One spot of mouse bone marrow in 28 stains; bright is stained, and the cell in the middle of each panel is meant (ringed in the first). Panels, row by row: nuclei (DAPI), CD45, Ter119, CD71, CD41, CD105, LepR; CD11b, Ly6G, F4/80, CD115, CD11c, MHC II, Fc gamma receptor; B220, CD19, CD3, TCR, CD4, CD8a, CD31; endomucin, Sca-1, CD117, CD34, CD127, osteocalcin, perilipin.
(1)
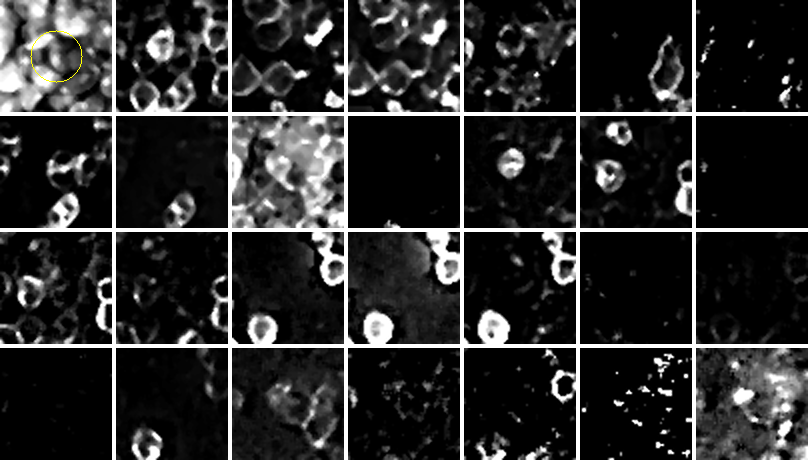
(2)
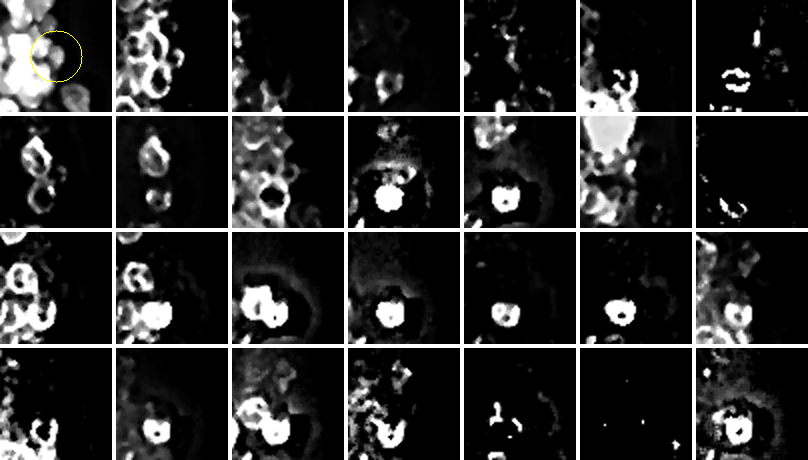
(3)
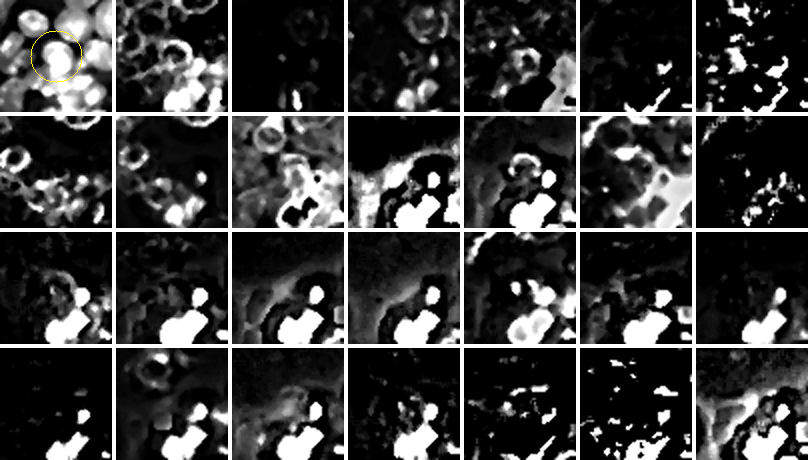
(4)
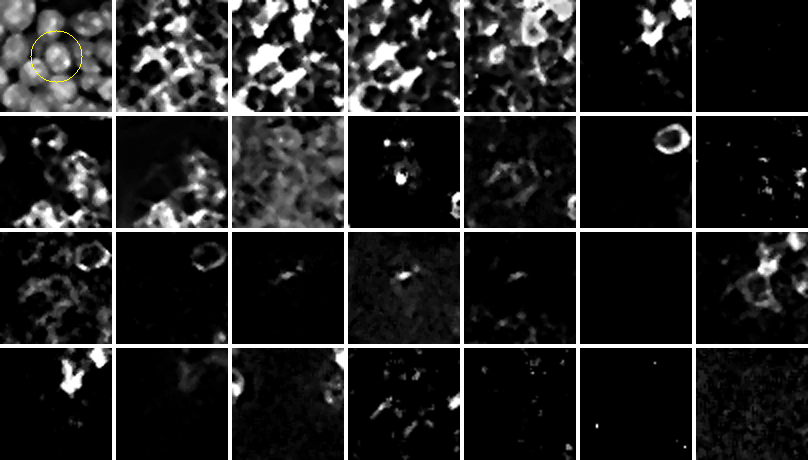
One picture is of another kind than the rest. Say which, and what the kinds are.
Picture 1 shows an erythroid progenitor (CFU-E); the rest show monocytes.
